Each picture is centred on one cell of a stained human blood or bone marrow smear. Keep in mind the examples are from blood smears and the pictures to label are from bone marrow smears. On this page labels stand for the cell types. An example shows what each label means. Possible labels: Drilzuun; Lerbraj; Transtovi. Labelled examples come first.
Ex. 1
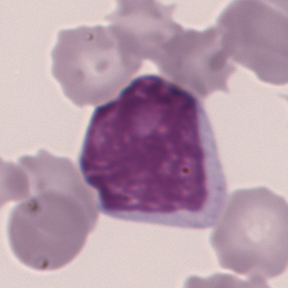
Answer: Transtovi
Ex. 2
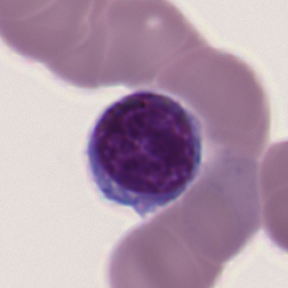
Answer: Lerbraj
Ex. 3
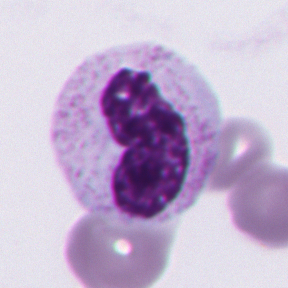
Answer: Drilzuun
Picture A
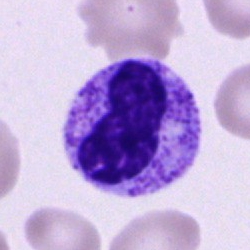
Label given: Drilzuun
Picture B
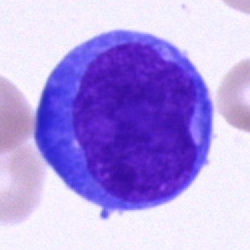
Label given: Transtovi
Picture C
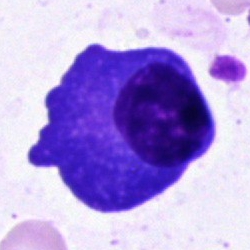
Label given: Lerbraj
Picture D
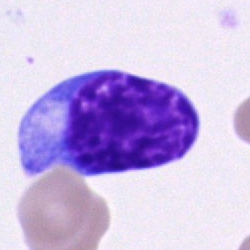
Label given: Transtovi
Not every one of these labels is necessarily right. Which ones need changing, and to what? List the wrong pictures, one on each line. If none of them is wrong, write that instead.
No label is wrong.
